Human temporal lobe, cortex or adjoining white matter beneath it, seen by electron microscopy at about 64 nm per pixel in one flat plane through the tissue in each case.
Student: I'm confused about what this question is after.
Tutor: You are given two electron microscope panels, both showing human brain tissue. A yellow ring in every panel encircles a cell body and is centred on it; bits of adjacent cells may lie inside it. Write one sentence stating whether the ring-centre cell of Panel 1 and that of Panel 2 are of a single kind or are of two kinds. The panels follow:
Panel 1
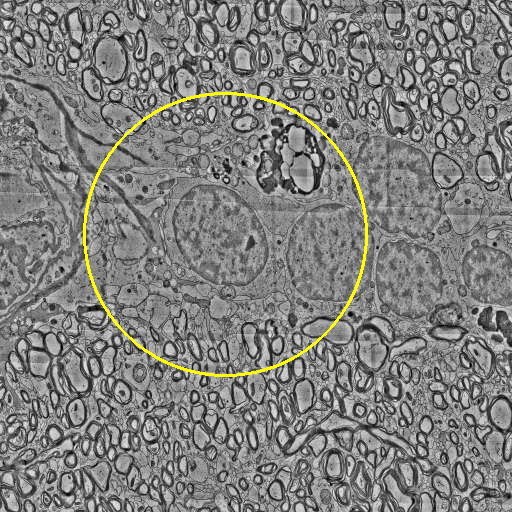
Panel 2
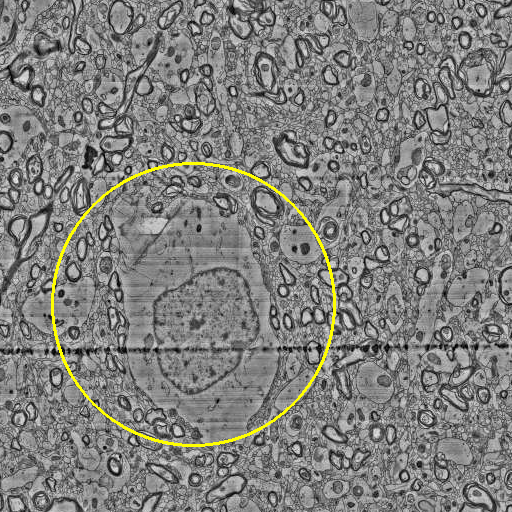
Here, the Panel 1 ring-centre cell and the Panel 2 ring-centre cell are of two kinds.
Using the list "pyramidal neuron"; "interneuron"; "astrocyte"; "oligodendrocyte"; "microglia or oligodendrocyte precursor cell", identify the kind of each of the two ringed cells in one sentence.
The first is an oligodendrocyte and the second is an astrocyte.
